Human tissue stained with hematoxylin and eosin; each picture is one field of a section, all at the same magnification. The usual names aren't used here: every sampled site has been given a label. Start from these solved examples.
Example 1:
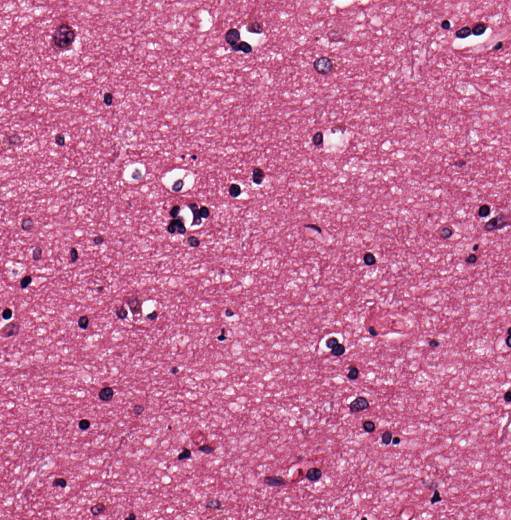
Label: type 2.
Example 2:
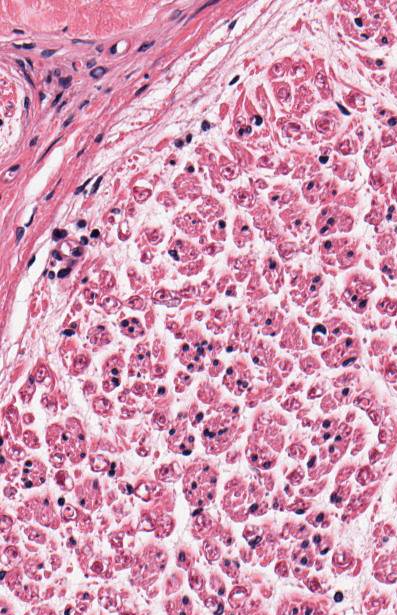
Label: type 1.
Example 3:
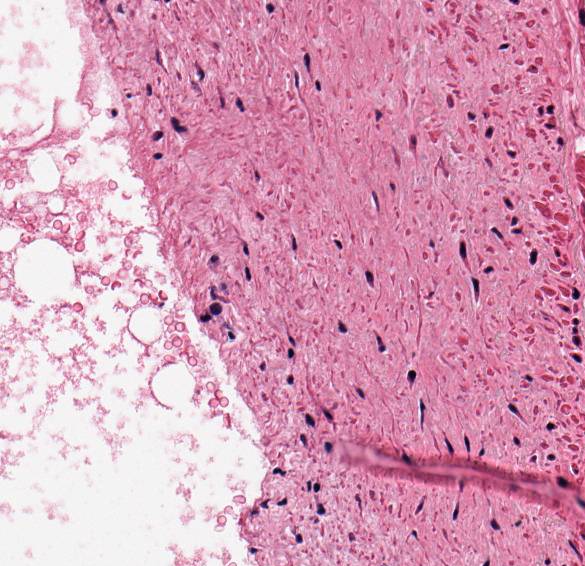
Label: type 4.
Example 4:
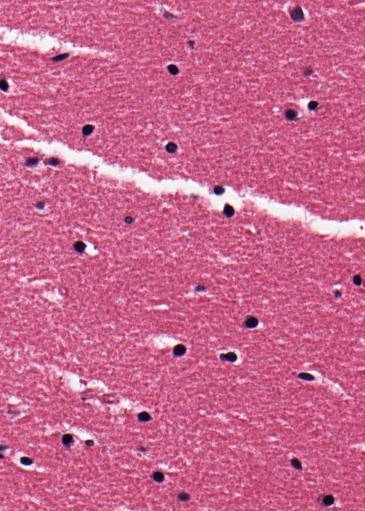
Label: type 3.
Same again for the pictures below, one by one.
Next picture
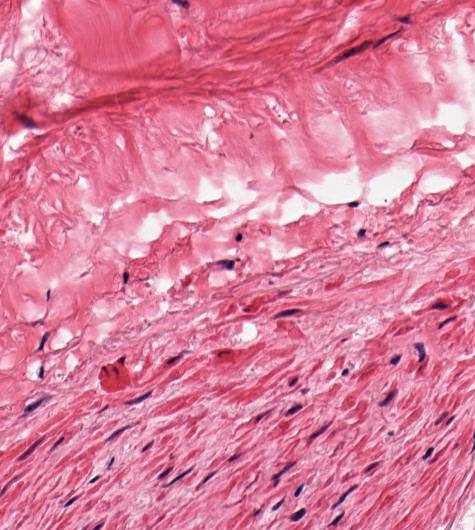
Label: type 4.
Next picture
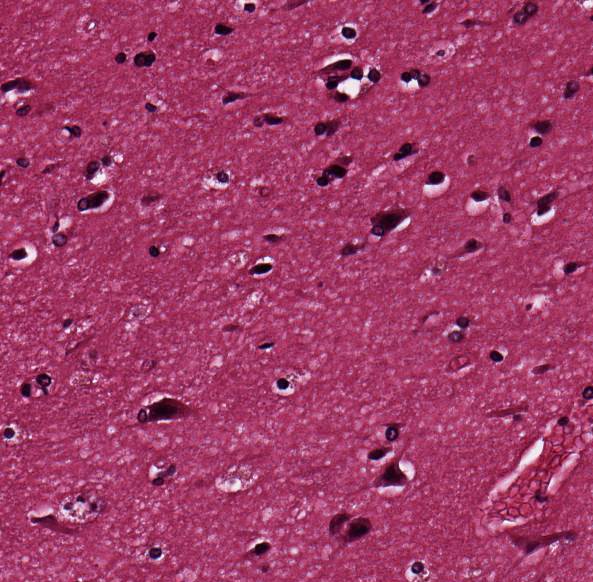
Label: type 2.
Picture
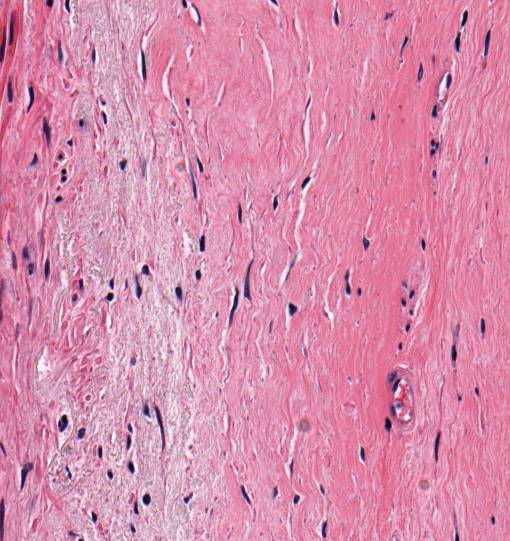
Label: type 4.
